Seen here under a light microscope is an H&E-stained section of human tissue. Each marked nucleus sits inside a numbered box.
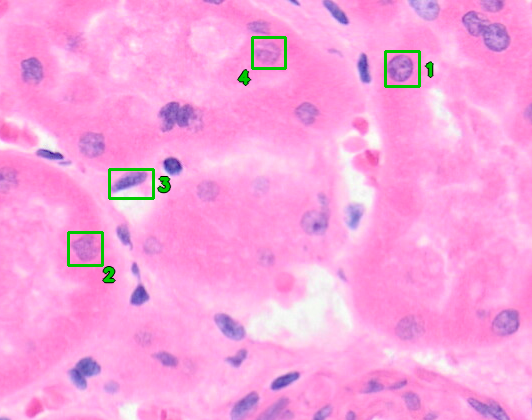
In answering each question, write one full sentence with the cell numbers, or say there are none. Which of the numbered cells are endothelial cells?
Cell 3 stands alone among the numbered cells as an endothelial cell.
